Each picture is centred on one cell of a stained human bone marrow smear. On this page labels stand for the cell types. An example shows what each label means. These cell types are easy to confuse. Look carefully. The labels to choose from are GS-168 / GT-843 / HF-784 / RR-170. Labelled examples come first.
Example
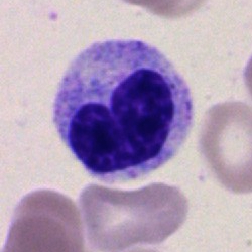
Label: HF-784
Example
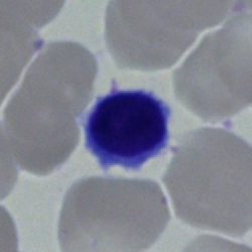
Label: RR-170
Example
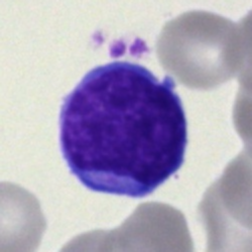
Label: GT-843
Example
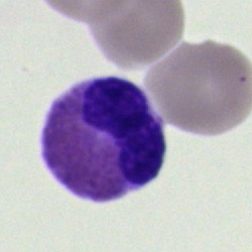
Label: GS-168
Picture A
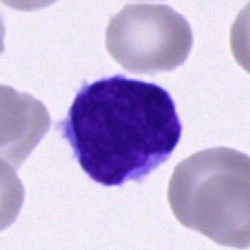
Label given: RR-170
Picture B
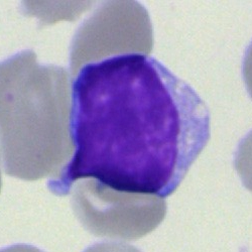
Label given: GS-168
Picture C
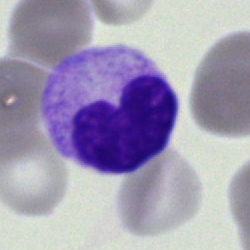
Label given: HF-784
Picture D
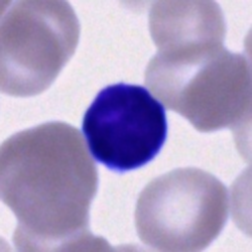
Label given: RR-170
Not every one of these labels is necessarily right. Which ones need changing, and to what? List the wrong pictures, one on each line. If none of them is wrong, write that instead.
B: change GS-168 to RR-170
